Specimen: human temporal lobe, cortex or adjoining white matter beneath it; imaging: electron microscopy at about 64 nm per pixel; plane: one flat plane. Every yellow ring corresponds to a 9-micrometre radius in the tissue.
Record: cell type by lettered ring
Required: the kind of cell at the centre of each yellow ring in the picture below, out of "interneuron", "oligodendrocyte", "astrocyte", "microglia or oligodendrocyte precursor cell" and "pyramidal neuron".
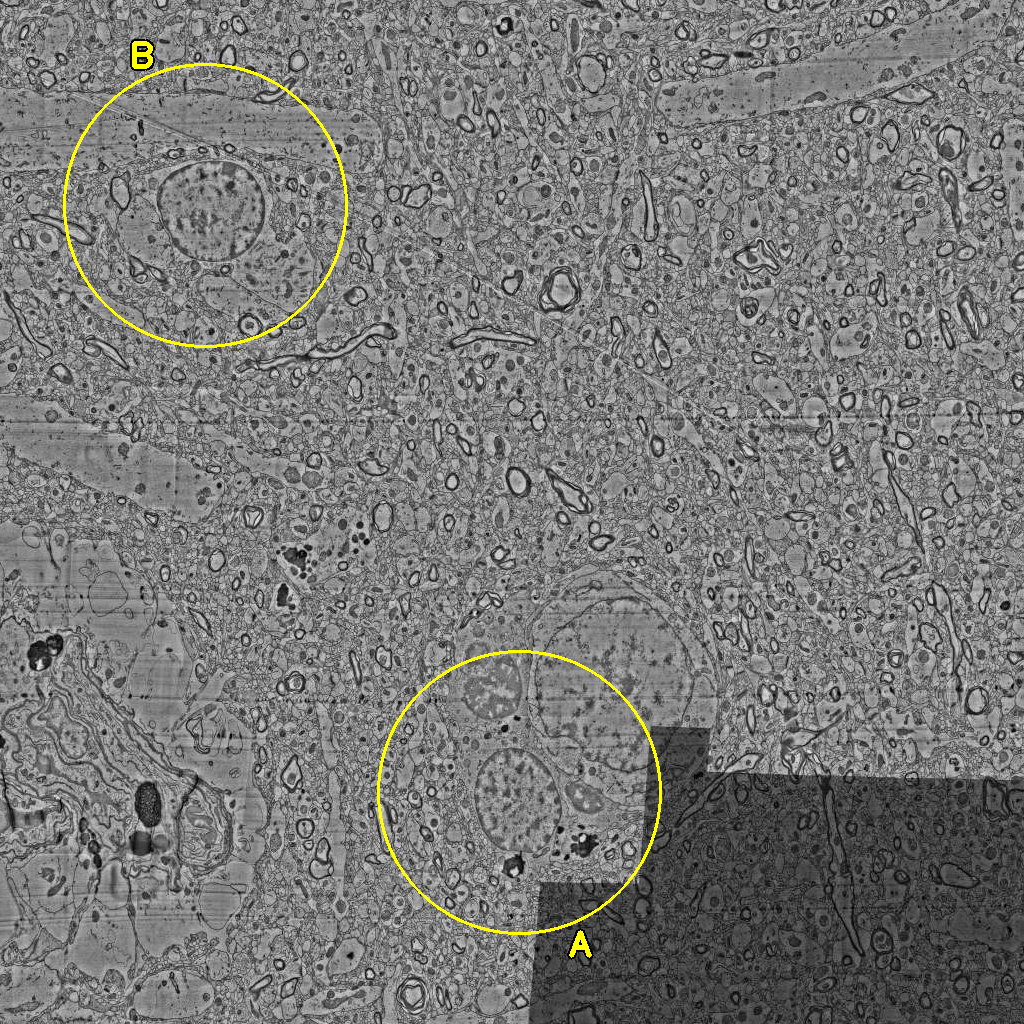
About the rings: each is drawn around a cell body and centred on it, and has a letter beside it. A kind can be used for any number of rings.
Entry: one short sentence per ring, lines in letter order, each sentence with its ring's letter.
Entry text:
At ring A we have an oligodendrocyte.
At ring B we have a microglial cell or oligodendrocyte precursor cell.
